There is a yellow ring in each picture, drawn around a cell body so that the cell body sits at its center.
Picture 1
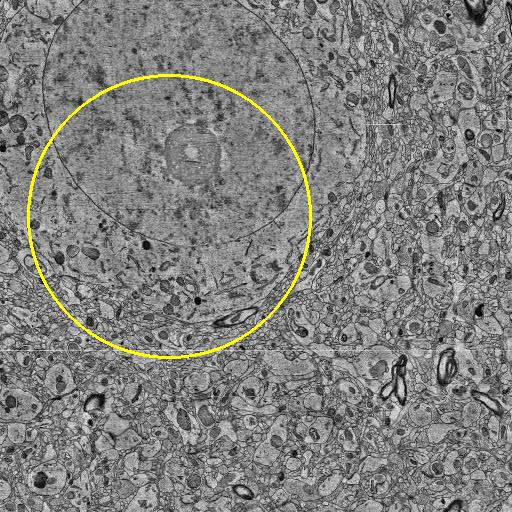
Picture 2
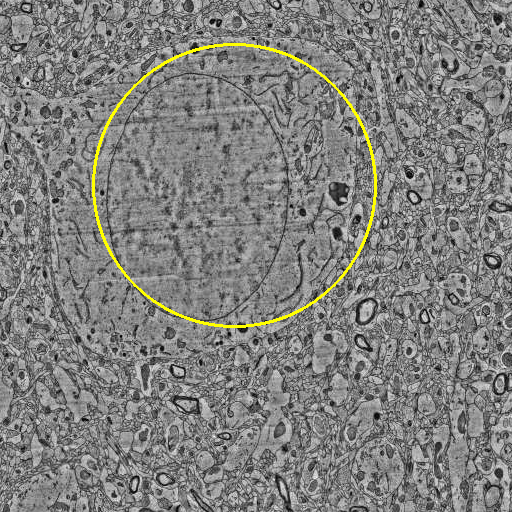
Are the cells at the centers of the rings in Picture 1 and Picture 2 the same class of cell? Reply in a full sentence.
Yes, the two cells are the same class of cell.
